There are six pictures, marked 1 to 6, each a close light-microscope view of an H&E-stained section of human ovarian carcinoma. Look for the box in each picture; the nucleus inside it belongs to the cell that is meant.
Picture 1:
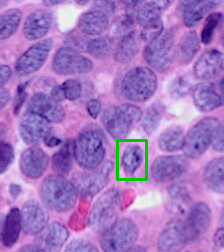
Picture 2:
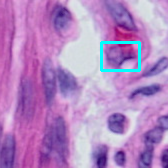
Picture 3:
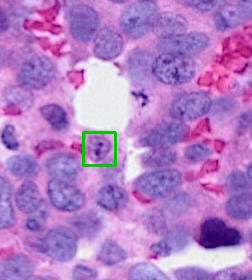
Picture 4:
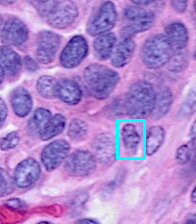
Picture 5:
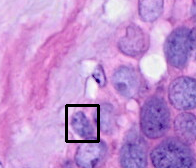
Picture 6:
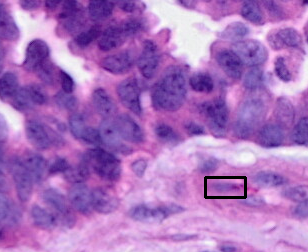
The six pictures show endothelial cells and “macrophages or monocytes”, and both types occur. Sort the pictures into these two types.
1: macrophage or monocyte
2: endothelial cell
3: macrophage or monocyte
4: macrophage or monocyte
5: macrophage or monocyte
6: endothelial cell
